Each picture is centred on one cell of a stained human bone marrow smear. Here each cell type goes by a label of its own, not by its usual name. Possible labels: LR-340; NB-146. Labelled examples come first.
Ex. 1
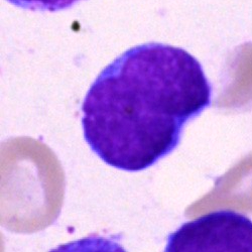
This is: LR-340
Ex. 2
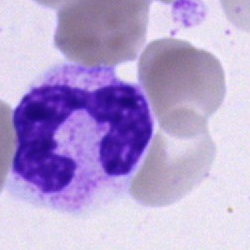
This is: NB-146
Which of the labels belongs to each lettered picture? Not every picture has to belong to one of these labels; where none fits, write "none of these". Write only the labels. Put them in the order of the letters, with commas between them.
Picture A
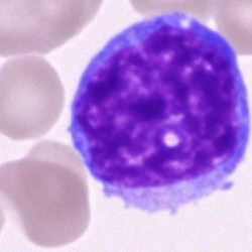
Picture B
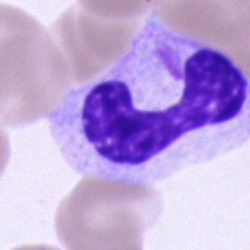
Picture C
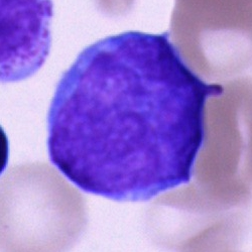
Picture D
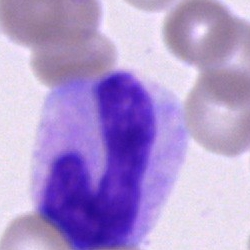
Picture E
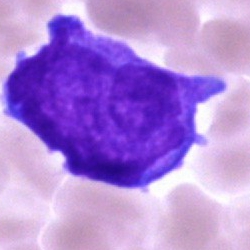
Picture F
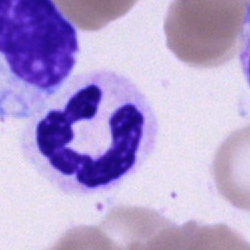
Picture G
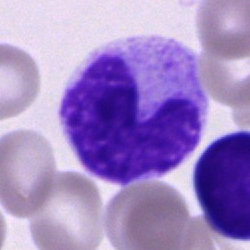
LR-340, none of these, LR-340, none of these, LR-340, NB-146, none of these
